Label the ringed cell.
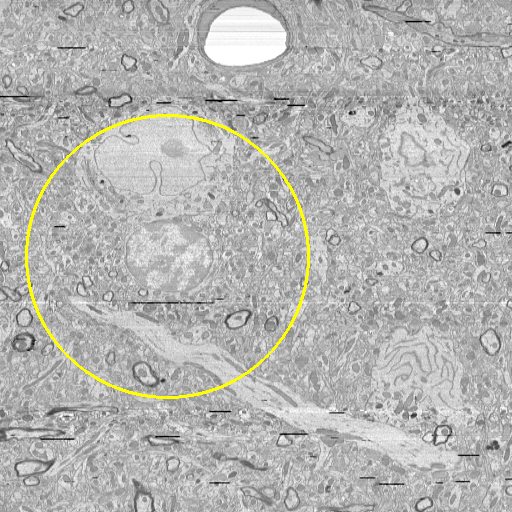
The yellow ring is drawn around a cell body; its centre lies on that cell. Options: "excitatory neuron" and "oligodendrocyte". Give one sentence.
The ringed cell is an oligodendrocyte.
